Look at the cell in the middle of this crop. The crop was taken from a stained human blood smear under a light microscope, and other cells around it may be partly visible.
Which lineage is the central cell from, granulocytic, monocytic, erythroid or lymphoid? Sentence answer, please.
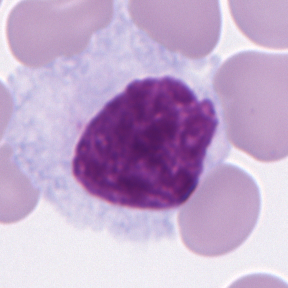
Belonging to the lymphoid lineage is the cell positioned in the middle.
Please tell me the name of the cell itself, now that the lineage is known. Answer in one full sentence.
The cell found in the middle of this crop is a hairy cell.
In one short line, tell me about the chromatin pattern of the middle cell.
Just so you know, its chromatin is coarsely clumped.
